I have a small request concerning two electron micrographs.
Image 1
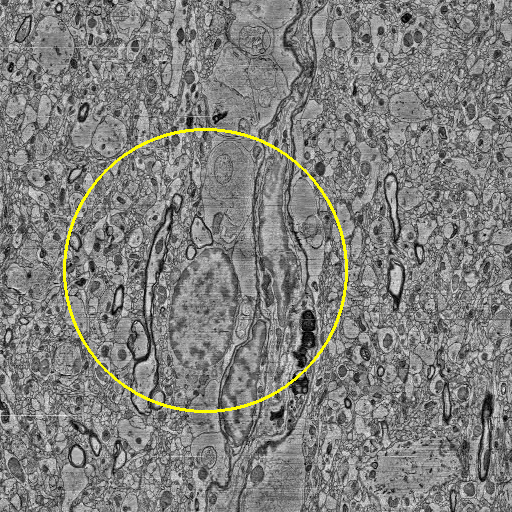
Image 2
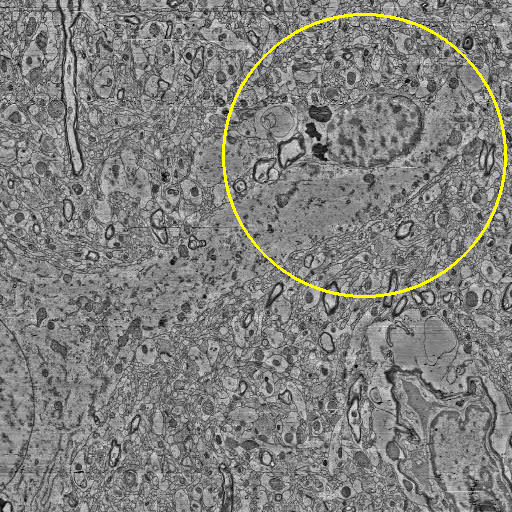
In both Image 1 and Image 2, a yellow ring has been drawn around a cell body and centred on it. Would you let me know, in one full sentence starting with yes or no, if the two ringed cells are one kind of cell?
Yes, the cells ringed in Image 1 and Image 2 are one kind of cell.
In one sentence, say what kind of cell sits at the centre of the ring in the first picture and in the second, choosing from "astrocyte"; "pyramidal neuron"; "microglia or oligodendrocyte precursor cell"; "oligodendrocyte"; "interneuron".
The cell in the first picture is an oligodendrocyte, and so is the one in the second.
